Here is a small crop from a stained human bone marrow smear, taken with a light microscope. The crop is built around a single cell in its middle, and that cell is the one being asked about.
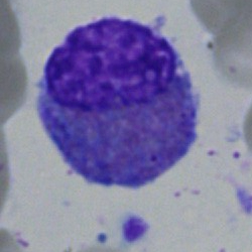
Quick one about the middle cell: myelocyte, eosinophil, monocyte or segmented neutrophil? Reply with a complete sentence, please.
Looking at the middle of the crop, the cell there is an eosinophil.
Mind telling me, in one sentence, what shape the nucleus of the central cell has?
What stands out is a nucleus forming one compact round, oval or kidney-shaped mass.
